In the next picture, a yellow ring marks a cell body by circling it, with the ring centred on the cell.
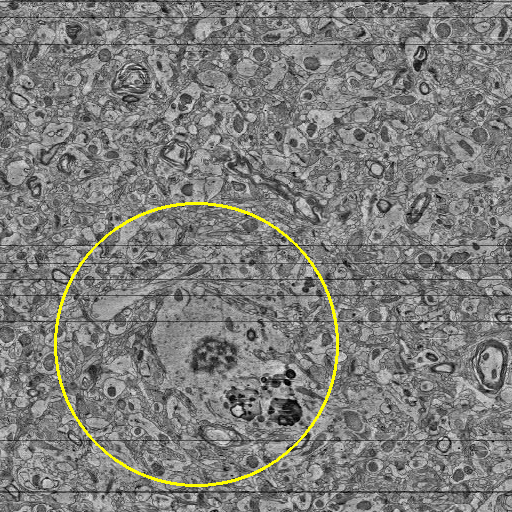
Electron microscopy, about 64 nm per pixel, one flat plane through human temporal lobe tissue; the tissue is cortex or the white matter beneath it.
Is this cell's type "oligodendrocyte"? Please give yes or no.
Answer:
no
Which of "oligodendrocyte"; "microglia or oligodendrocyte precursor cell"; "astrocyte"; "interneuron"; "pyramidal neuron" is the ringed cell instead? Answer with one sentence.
It is an astrocyte that the ring is centred on.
